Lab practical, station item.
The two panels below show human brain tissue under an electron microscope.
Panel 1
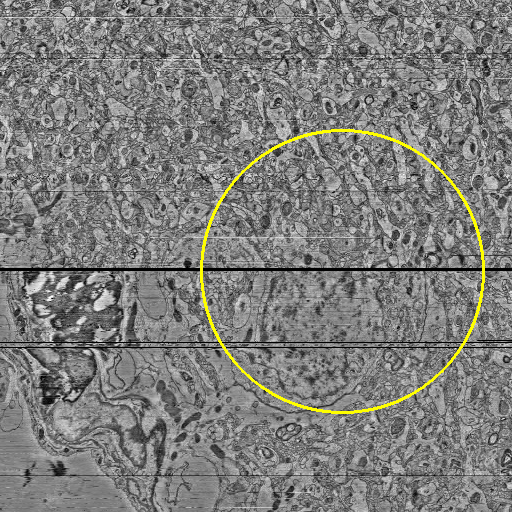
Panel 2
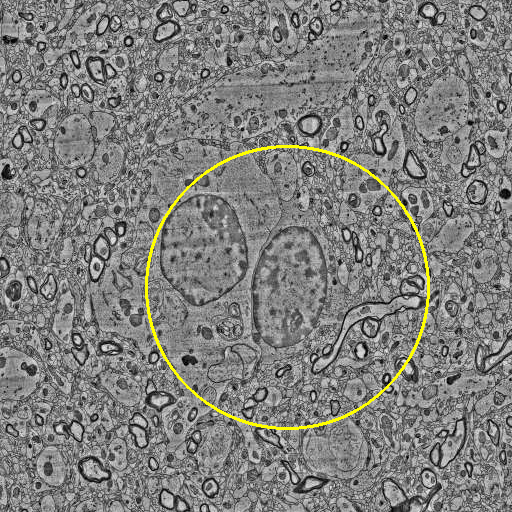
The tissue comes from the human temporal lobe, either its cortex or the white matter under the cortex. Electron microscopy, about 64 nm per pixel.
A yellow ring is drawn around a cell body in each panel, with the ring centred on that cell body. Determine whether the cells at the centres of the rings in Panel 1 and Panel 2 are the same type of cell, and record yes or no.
no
